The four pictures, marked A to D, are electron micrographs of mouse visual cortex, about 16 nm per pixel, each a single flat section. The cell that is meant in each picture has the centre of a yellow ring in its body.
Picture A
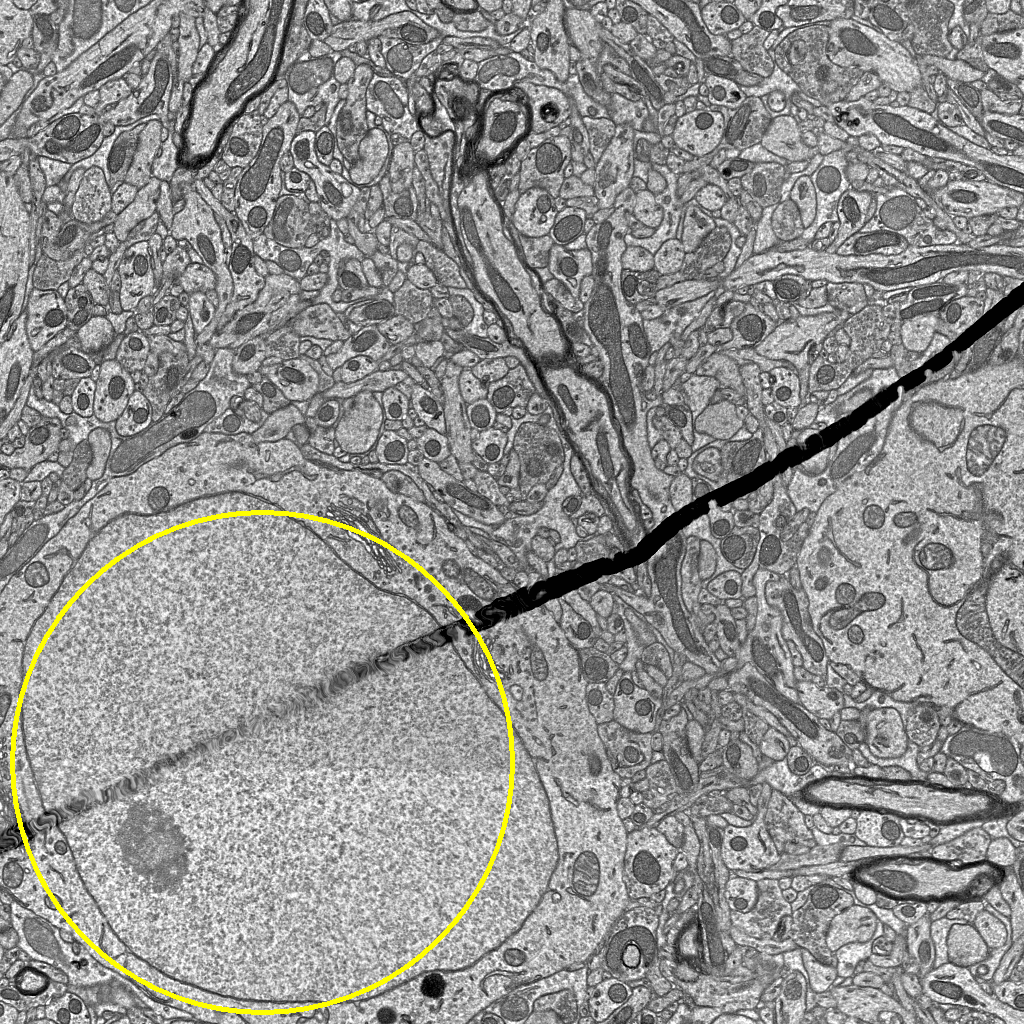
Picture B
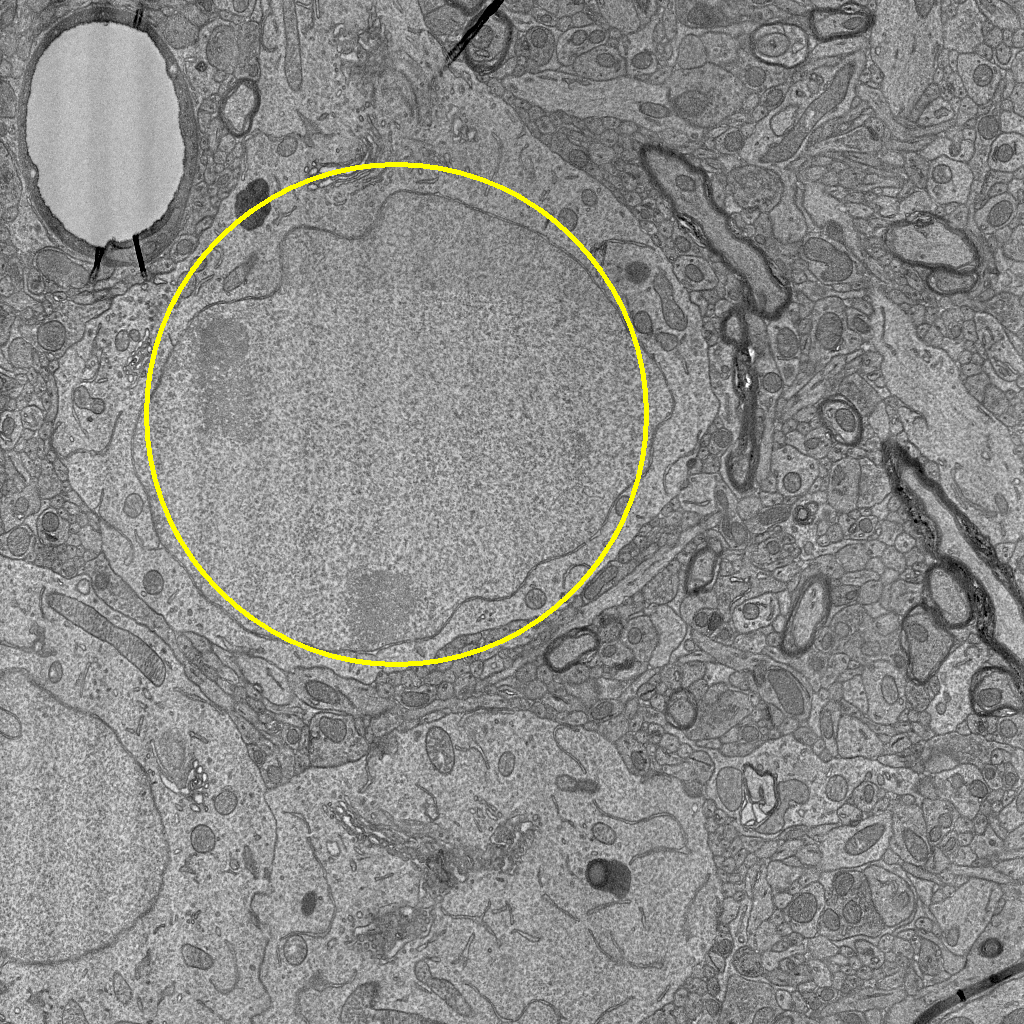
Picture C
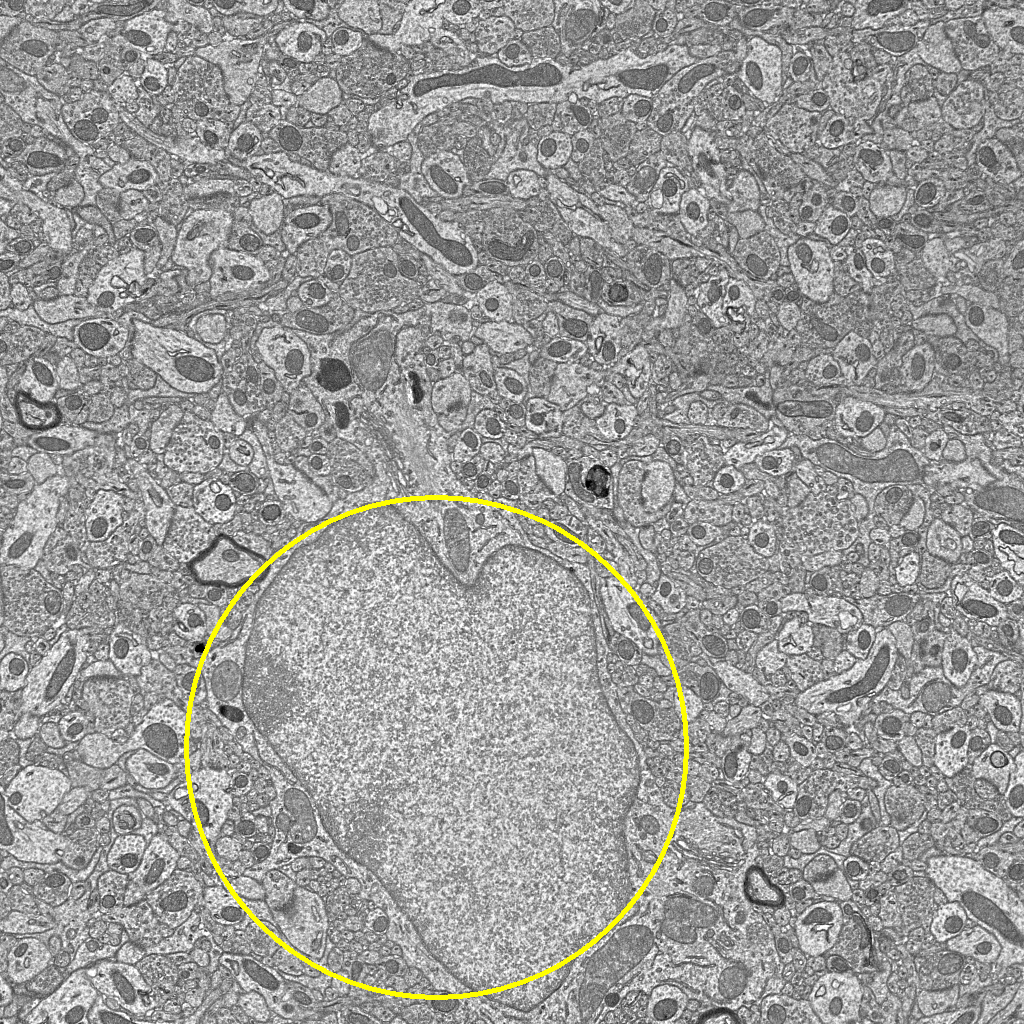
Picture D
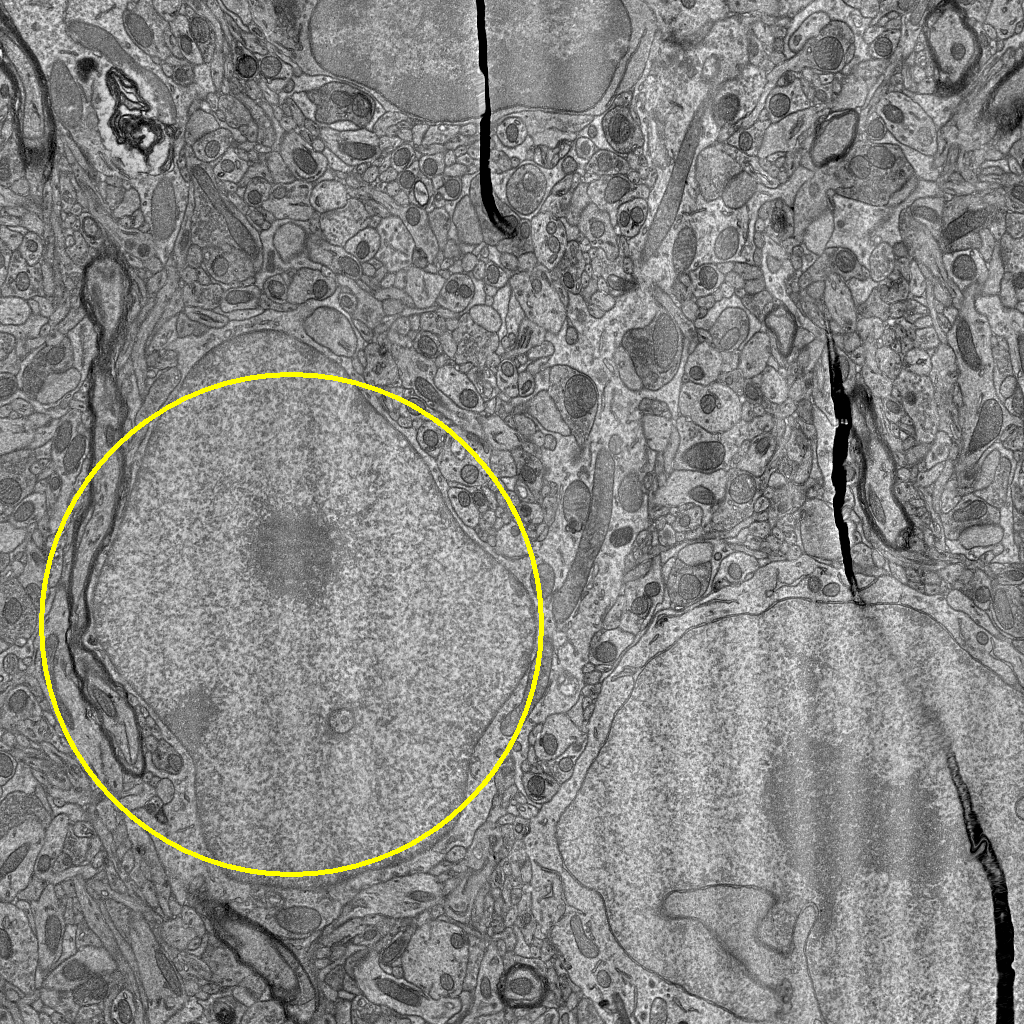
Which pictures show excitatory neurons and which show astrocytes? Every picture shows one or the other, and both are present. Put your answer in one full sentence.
Pictures A and B show excitatory neurons; pictures C and D show astrocytes.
